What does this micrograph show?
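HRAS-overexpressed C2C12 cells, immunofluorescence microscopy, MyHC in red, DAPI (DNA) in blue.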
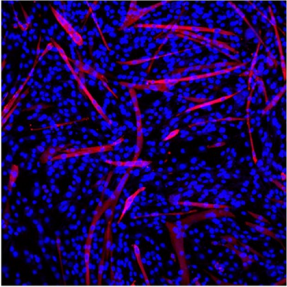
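A dense culture of muscle cells in which blue nuclei crowd closely across the whole field. Red elongated myotubes are present but are mostly thin and long, threading between the packed nuclei. Most nuclei lie outside the red-stained cells.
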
